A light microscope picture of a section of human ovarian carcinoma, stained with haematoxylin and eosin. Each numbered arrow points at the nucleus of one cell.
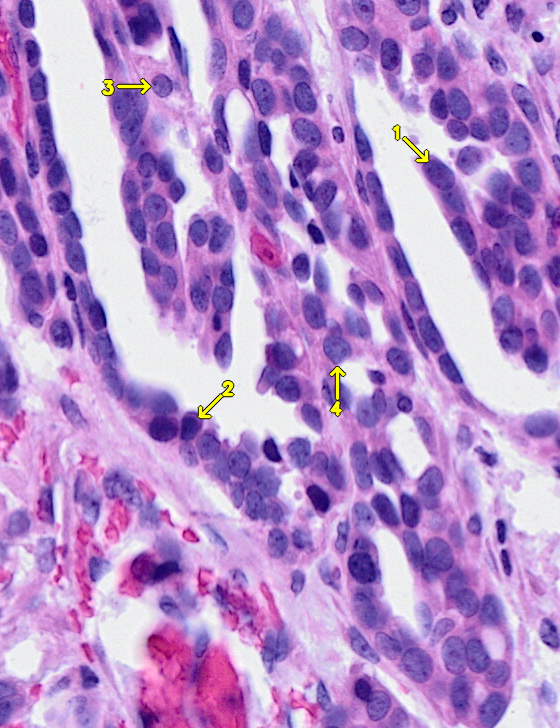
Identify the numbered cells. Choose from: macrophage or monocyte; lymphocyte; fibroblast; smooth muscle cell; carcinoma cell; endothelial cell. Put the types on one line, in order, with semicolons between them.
carcinoma cell; carcinoma cell; macrophage or monocyte; carcinoma cell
